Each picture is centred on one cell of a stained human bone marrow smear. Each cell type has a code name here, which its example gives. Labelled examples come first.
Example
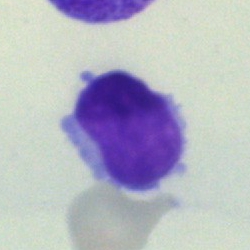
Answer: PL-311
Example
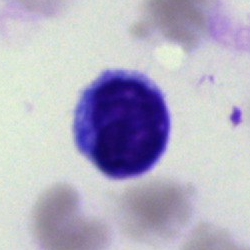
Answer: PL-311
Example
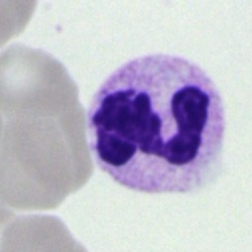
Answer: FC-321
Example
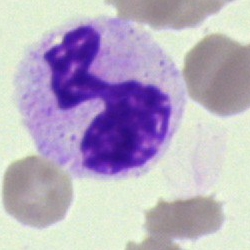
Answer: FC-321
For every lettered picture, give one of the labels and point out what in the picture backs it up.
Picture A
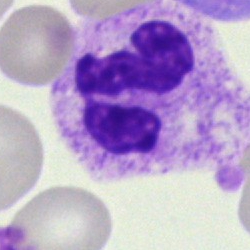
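FC-321: The cytoplasm is abundant and pale lilac.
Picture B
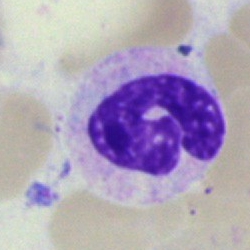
FC-321: The nucleus is a thick curved band bent around a small pale central gap.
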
